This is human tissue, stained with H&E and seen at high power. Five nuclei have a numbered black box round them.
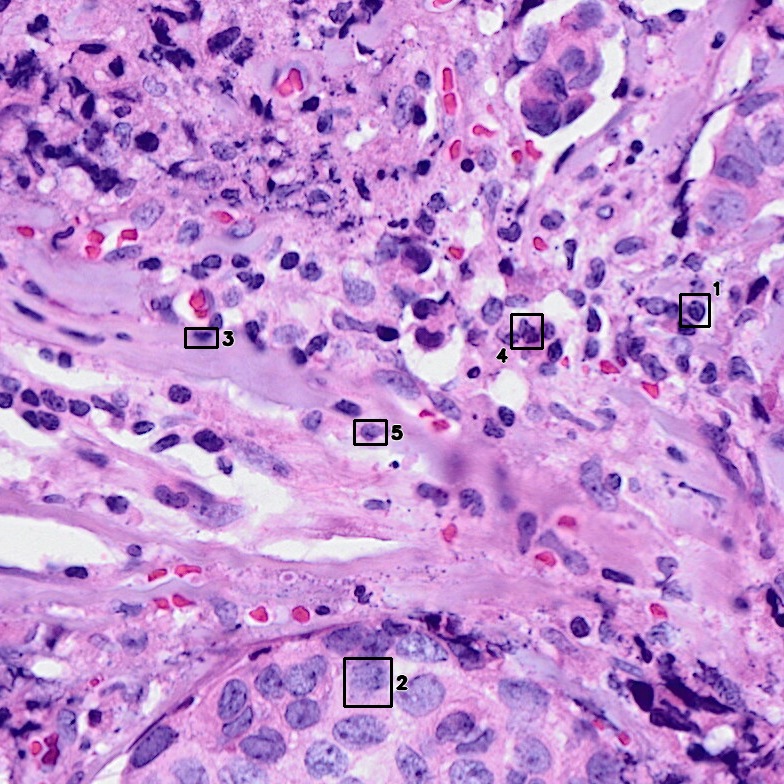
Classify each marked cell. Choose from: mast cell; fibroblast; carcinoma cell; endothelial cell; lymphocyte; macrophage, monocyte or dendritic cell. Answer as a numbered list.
1. lymphocyte
2. carcinoma cell
3. lymphocyte
4. lymphocyte
5. mast cell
